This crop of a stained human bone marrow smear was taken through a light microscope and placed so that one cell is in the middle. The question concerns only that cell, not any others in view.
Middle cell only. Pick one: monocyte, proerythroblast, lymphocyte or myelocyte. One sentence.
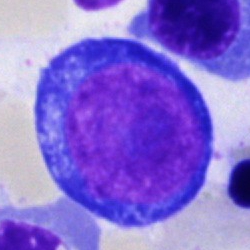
Here the centrally located cell is a proerythroblast.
